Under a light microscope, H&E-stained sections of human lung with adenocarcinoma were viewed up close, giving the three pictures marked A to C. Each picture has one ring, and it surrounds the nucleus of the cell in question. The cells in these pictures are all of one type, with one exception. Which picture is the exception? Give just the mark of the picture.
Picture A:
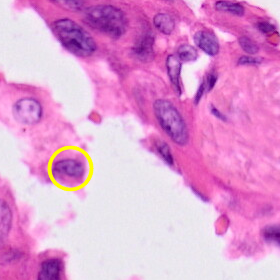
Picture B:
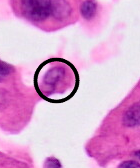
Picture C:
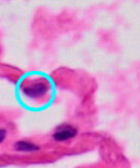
C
